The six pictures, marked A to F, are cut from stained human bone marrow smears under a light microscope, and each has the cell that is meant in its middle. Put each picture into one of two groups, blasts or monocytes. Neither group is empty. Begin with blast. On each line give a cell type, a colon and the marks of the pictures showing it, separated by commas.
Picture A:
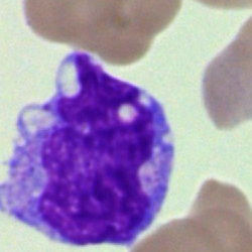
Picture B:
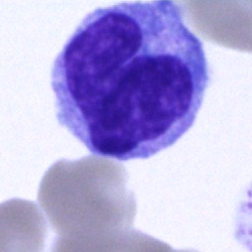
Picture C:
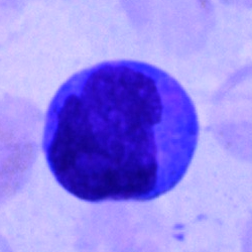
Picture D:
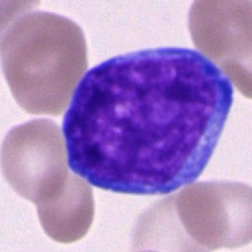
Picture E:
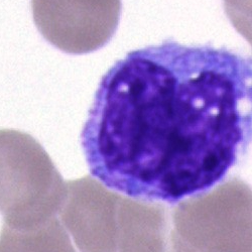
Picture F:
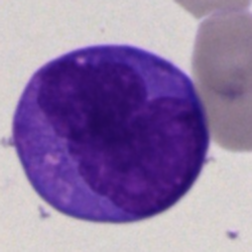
blast: C, D, F
monocyte: A, B, E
